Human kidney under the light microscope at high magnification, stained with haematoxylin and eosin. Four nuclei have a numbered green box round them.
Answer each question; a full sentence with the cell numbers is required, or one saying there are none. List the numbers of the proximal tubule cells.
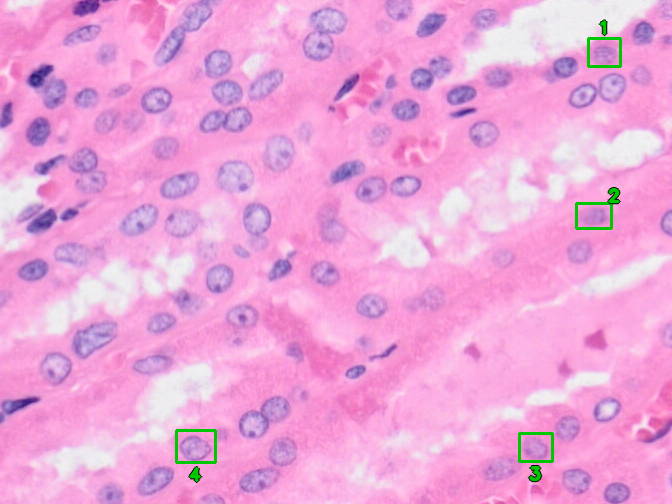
The cells numbered 2, 3 and 4 are typed as proximal tubule cells.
